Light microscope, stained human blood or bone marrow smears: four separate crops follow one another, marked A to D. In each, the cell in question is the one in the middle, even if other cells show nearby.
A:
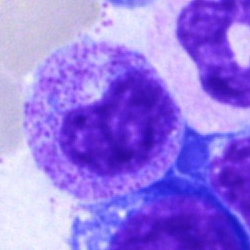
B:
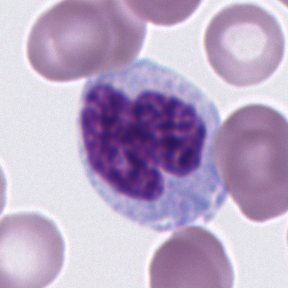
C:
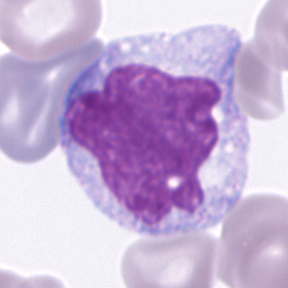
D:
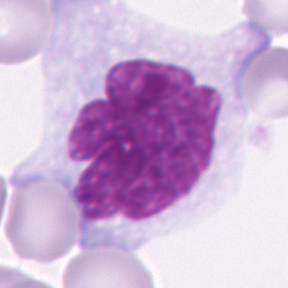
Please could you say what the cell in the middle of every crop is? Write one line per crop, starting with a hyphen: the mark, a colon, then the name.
- A: myelocyte
- B: monocyte
- C: monocyte
- D: monocyte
